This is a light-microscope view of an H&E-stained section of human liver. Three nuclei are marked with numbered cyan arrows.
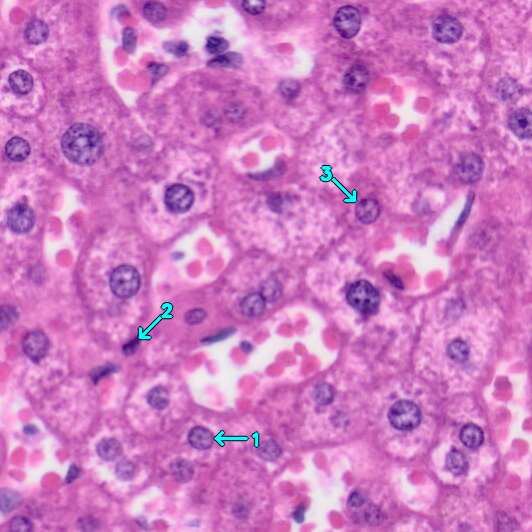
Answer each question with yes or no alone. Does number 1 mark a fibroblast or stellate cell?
no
